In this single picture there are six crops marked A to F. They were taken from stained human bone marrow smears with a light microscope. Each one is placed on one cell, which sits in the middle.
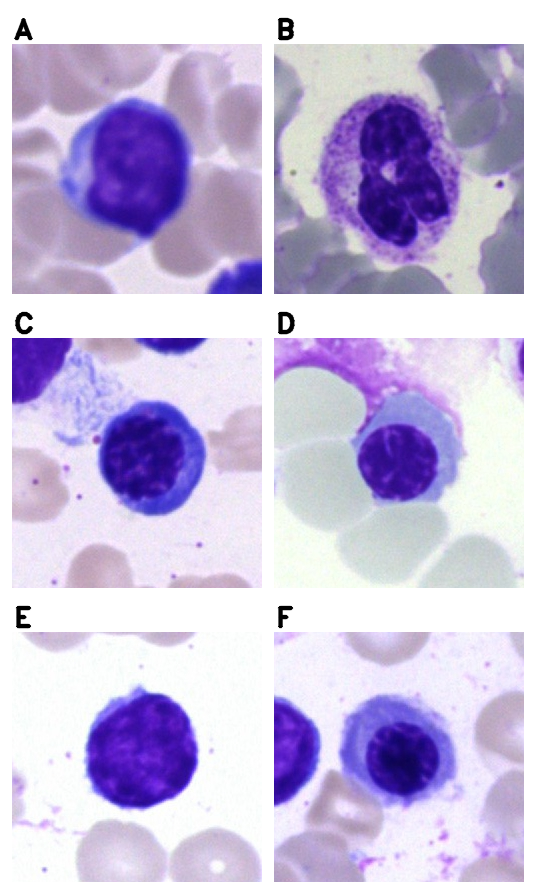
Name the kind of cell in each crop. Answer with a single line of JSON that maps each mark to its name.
{"A": "lymphocyte", "B": "segmented neutrophil", "C": "erythroblast", "D": "erythroblast", "E": "lymphocyte", "F": "erythroblast"}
